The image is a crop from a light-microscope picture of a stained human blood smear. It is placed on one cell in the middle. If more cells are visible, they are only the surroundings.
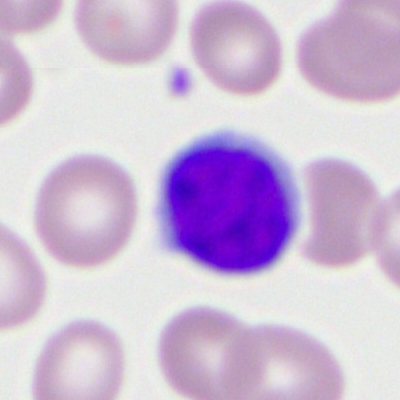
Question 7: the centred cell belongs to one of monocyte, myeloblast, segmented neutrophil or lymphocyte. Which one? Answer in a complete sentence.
The cell positioned in the middle of the field is a lymphocyte.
